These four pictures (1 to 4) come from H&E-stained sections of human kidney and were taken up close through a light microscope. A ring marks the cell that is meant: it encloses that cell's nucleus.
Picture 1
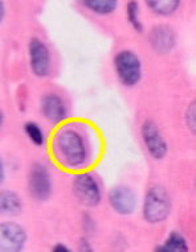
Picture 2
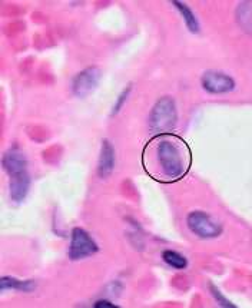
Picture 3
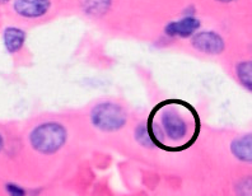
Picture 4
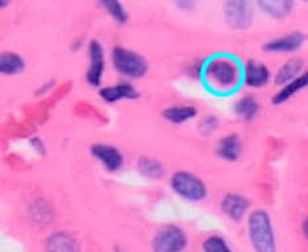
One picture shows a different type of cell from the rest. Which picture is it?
1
